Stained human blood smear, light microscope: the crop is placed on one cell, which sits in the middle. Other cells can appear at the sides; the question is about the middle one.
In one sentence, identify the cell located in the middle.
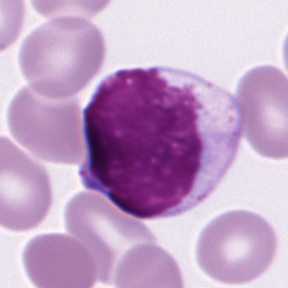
The cell sitting right in the middle is a large granular lymphocyte.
